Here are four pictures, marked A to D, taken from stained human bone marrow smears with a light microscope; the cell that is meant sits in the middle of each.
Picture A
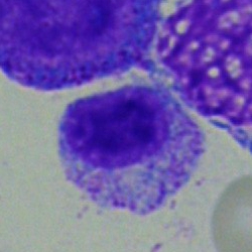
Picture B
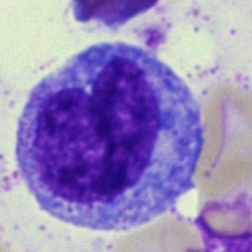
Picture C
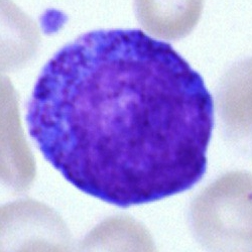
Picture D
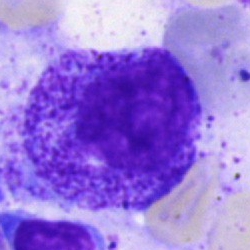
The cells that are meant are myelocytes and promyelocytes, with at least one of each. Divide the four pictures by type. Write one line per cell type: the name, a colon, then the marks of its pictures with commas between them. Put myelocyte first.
myelocyte: A
promyelocyte: B, C, D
